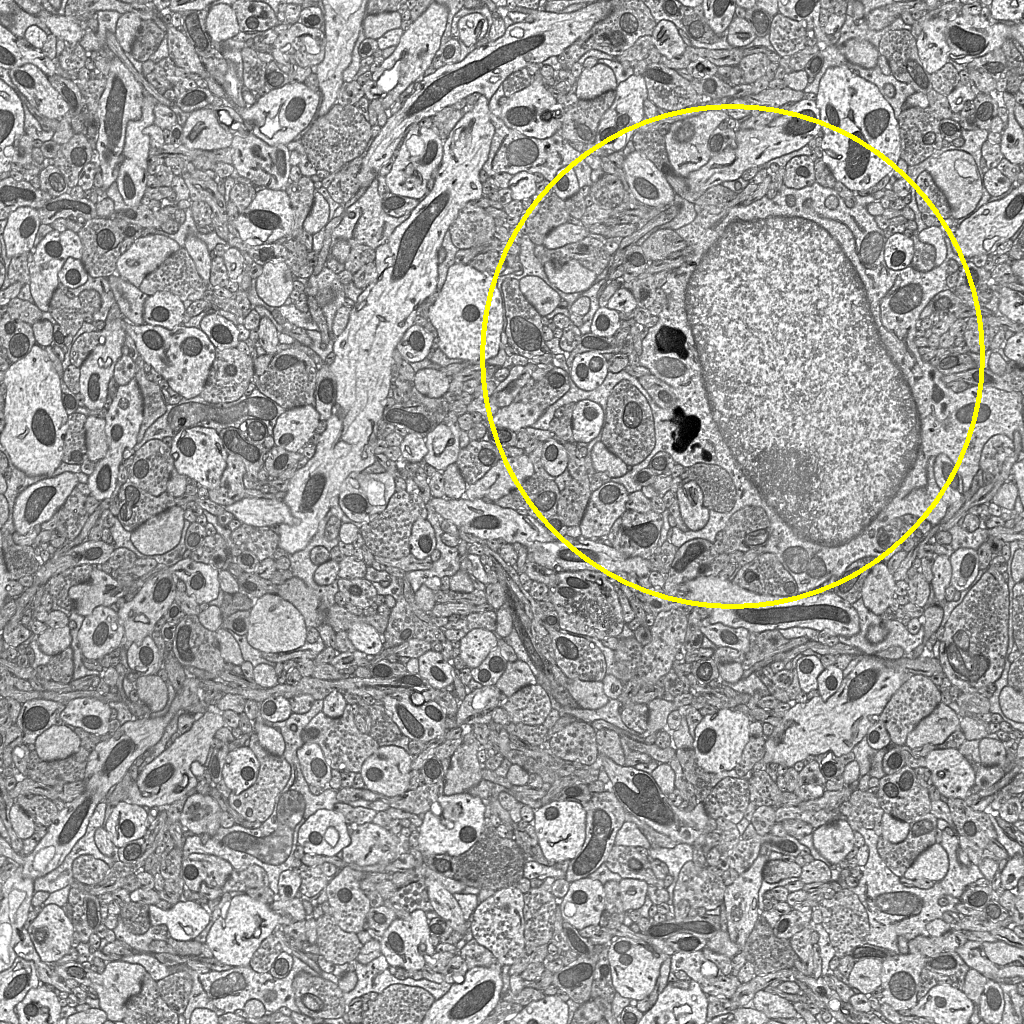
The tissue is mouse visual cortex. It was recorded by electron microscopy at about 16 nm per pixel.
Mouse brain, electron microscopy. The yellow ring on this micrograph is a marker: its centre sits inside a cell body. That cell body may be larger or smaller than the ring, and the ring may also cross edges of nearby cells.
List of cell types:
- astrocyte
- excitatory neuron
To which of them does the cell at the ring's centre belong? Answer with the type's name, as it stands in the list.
astrocyte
